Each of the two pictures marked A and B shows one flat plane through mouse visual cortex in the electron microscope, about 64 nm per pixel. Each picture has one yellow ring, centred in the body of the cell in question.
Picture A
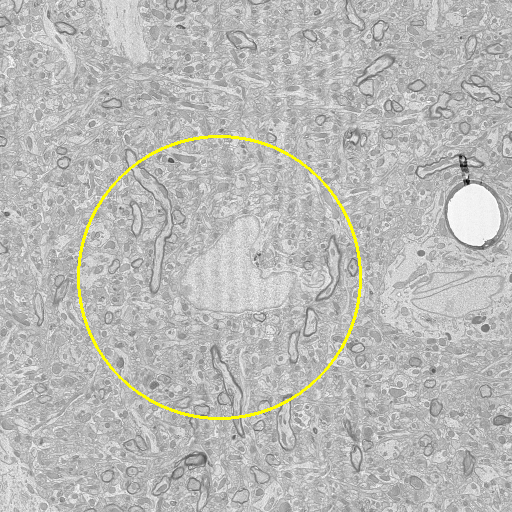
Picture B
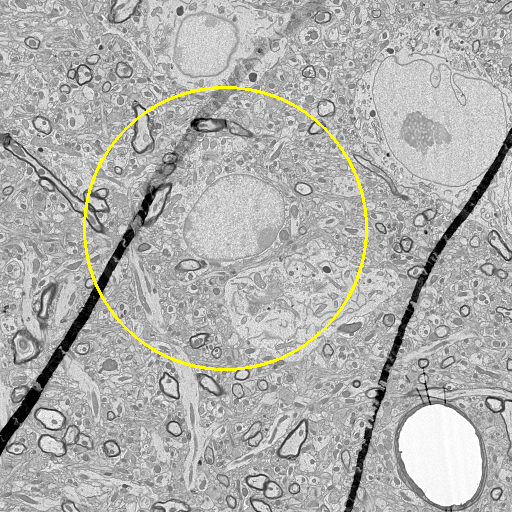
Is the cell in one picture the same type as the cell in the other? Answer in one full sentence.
No, picture A shows an oligodendrocyte precursor cell and picture B shows an astrocyte.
